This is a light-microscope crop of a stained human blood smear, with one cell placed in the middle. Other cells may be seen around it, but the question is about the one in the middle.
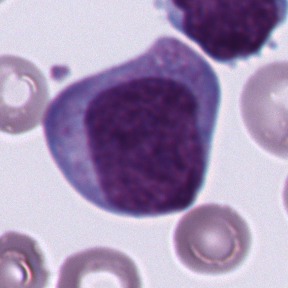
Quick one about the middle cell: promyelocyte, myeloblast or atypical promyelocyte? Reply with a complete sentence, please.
In the centre of this crop there is an atypical promyelocyte.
